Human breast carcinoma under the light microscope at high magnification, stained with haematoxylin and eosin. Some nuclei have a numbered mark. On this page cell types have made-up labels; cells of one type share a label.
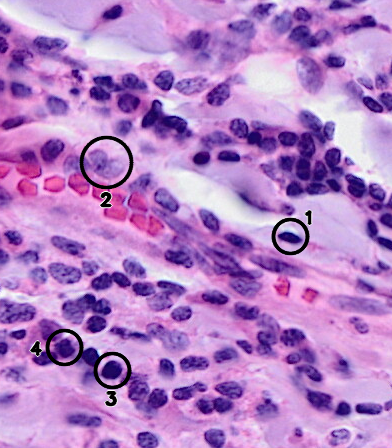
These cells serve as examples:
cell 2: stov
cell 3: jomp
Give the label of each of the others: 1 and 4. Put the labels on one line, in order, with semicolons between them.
jomp; jomp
